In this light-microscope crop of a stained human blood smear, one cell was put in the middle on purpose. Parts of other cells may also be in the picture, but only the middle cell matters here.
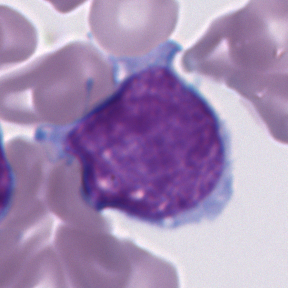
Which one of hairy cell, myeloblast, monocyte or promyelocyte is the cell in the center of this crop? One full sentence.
Whatever else lies nearby, the middle cell is a myeloblast.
